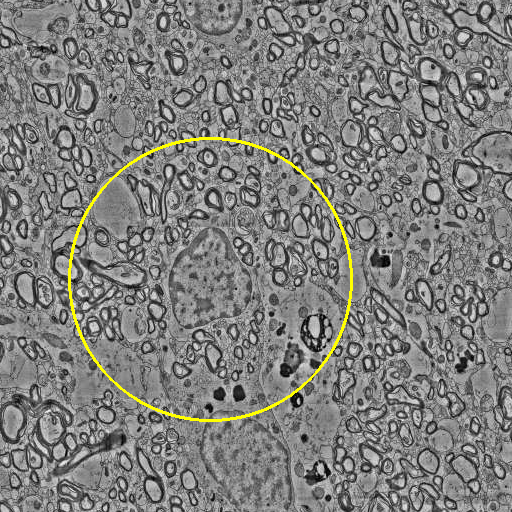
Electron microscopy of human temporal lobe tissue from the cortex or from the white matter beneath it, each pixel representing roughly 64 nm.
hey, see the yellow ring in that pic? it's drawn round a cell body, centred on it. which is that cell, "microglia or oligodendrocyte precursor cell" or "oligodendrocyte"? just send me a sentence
The cell in the ring is a microglial cell or oligodendrocyte precursor cell.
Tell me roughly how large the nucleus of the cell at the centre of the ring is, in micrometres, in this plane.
In this plane the nucleus is about 7 micrometres by 5.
